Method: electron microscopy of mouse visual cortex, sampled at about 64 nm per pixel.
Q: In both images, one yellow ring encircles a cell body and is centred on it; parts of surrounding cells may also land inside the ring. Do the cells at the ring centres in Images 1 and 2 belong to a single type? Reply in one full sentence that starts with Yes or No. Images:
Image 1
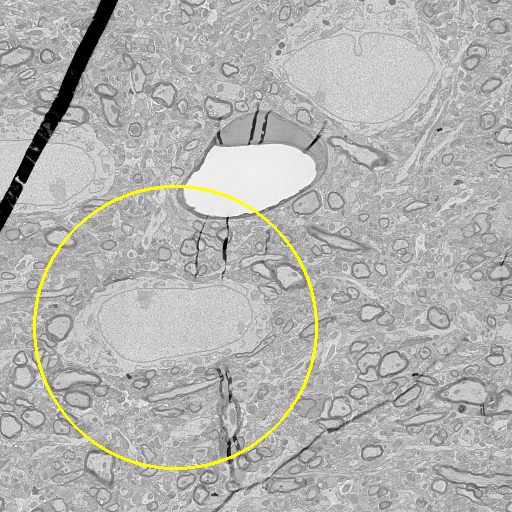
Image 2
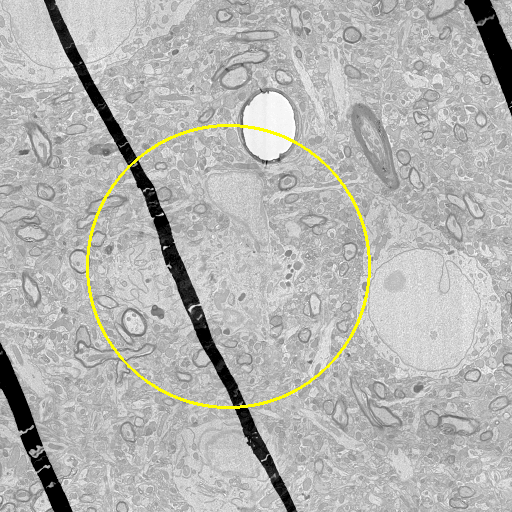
No, the cells at the ring centres in Images 1 and 2 are of two types.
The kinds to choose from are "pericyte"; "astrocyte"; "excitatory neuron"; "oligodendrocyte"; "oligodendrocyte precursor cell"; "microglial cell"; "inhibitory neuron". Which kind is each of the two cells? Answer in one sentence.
Of the two, the first cell is an excitatory neuron and the second cell is an oligodendrocyte precursor cell.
